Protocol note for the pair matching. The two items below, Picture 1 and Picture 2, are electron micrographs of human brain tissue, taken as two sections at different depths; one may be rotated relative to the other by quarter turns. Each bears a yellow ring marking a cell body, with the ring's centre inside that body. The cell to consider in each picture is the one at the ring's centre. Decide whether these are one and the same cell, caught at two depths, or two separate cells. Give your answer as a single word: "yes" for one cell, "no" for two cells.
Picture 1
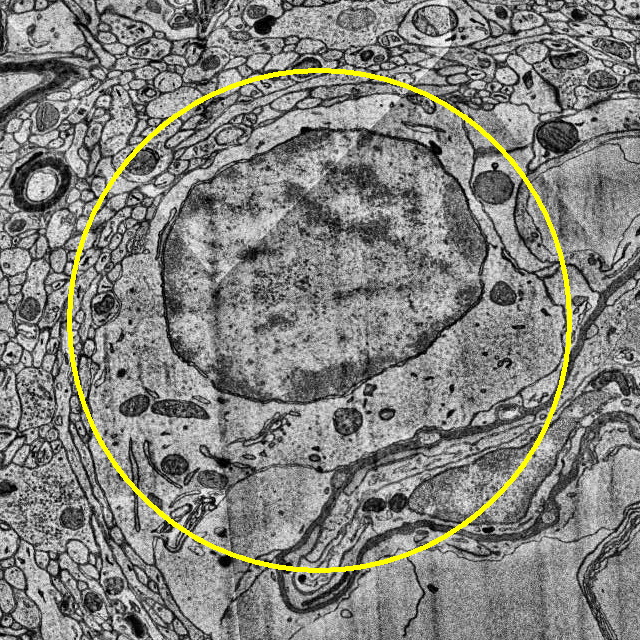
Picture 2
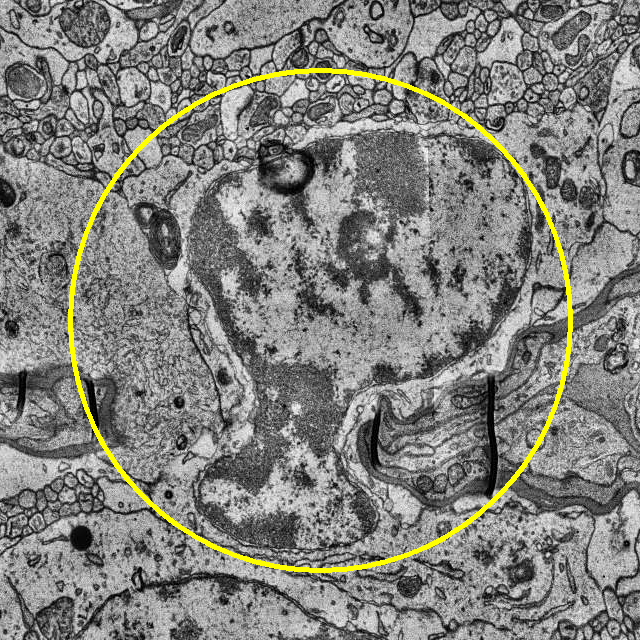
no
